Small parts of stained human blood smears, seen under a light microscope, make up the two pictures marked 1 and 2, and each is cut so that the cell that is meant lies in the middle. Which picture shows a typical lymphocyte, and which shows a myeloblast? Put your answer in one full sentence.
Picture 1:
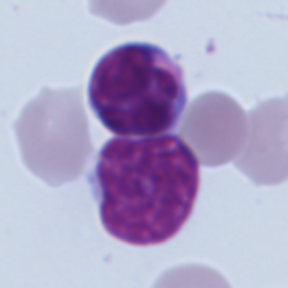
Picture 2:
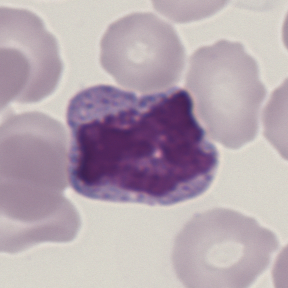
Picture 1 is of a myeloblast, and picture 2 is of a typical lymphocyte.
